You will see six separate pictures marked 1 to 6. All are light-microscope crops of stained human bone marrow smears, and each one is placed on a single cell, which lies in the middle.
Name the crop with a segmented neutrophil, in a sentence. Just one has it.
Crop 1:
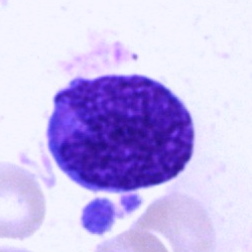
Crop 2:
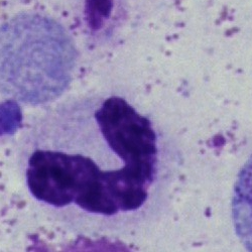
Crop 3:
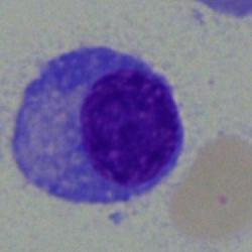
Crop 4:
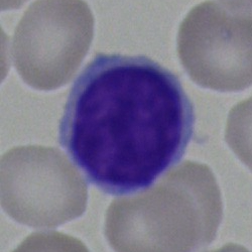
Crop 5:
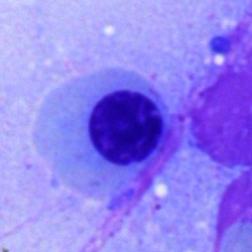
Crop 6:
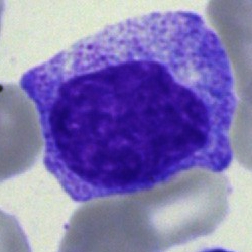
Among the crops given, only crop 2 shows a segmented neutrophil.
